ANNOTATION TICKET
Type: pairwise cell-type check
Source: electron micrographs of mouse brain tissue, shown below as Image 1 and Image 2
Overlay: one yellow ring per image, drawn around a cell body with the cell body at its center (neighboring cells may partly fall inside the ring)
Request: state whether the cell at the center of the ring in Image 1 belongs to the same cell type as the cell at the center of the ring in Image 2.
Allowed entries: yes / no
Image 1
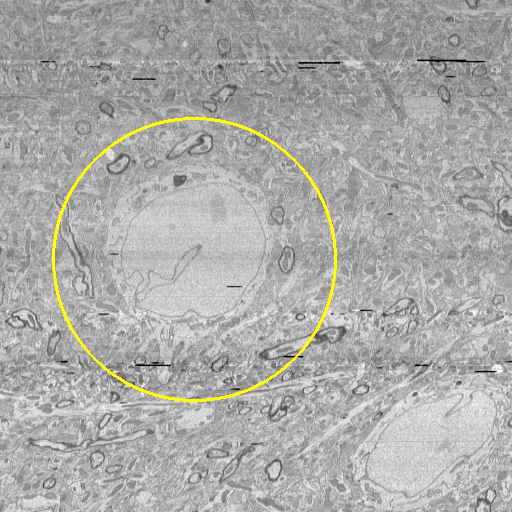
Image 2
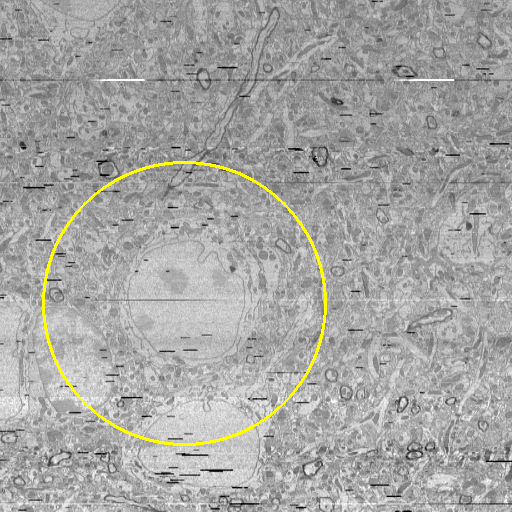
yes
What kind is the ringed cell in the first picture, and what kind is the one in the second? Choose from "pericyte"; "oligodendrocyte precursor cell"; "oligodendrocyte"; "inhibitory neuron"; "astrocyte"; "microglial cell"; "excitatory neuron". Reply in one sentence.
Each of the two rings surrounds an excitatory neuron.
